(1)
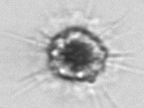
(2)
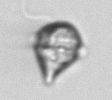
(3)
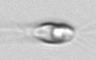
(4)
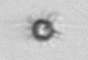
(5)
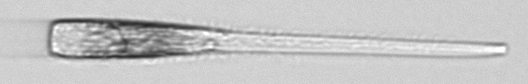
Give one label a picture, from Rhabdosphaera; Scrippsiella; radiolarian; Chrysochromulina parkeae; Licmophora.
1. radiolarian
2. Scrippsiella
3. Chrysochromulina parkeae
4. Rhabdosphaera
5. Licmophora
